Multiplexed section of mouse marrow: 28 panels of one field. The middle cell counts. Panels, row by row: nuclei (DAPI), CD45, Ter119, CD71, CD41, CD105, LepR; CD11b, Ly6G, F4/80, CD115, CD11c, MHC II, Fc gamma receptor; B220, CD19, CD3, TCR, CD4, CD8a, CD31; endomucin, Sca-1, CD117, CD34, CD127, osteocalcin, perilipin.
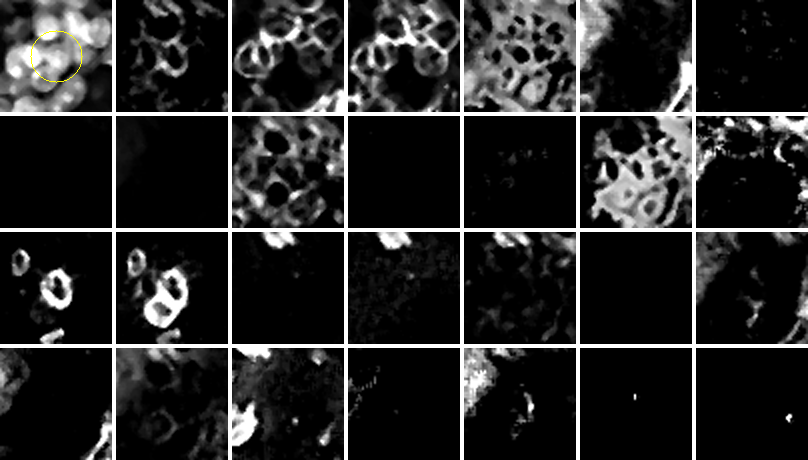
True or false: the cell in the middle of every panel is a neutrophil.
False; it is a B cell.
